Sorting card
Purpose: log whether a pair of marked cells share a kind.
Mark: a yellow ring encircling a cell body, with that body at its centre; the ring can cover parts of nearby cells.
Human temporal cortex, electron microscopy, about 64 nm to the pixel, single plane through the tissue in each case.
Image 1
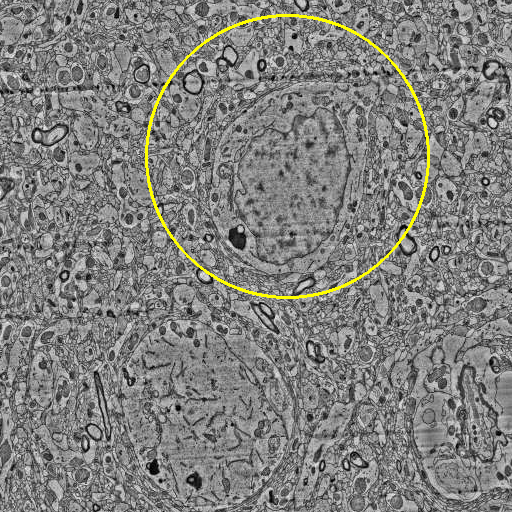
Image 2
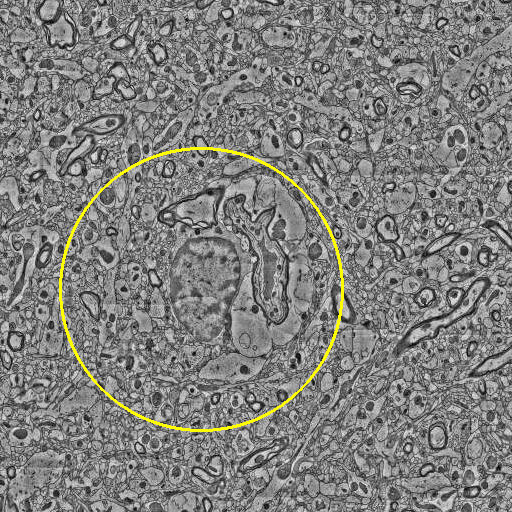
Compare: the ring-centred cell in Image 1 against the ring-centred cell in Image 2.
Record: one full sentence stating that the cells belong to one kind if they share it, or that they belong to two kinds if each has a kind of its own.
Across Images 1 and 2, the two ring-centred cells belong to two kinds.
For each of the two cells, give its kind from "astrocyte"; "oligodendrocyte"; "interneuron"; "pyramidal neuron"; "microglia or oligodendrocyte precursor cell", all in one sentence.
The first picture has an interneuron in its ring, the second has an oligodendrocyte.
